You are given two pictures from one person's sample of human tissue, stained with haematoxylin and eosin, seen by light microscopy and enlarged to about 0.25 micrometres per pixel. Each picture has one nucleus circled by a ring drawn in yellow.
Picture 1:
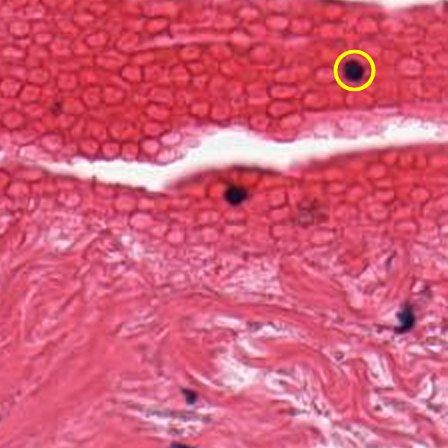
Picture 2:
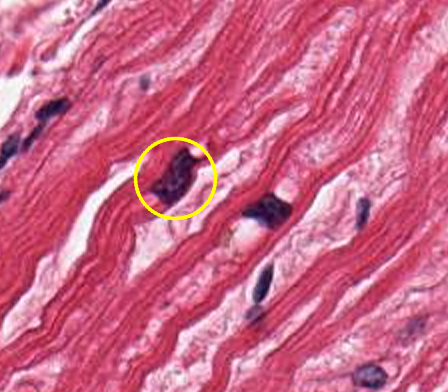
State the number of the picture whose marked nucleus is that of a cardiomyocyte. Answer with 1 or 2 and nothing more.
2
